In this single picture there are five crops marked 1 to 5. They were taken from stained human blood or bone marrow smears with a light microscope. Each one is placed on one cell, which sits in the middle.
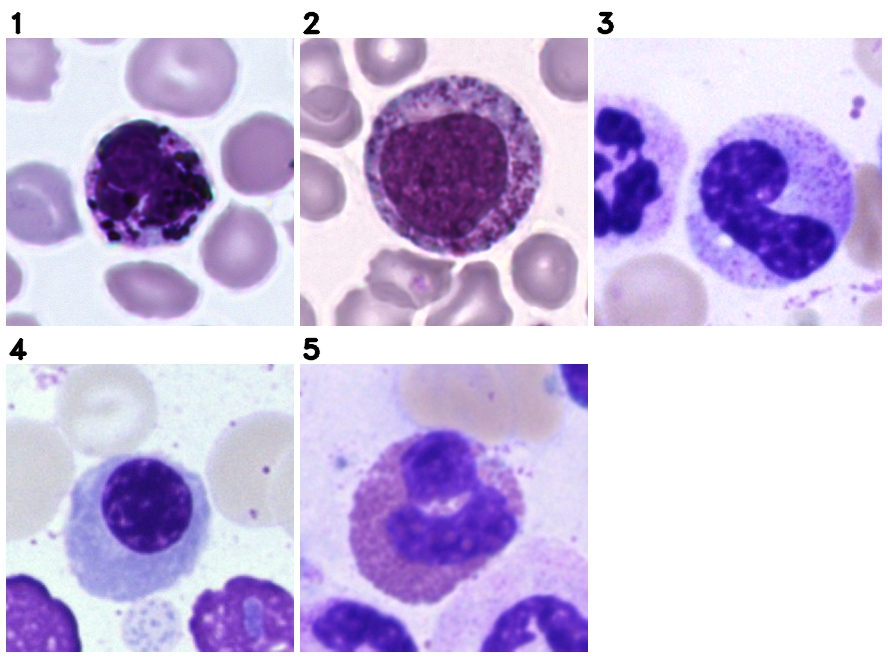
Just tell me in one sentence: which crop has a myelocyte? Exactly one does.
The crop carrying a myelocyte at the center is crop 2.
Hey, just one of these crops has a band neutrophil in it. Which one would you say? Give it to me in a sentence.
Of the crops given, a band neutrophil is found in crop 3.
